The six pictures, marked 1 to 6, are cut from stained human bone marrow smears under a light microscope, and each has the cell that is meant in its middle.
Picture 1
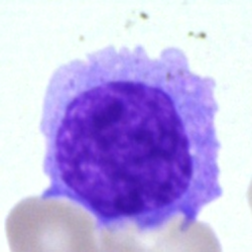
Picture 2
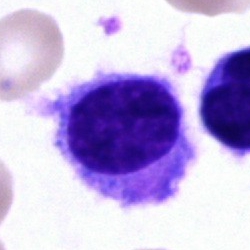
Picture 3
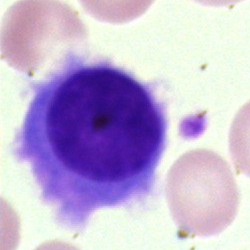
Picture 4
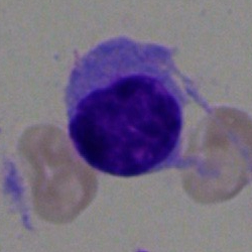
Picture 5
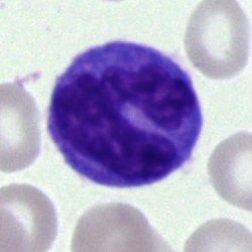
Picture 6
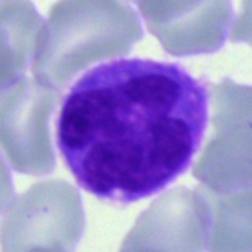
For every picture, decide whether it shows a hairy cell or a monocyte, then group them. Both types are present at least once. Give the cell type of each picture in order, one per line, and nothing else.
monocyte
hairy cell
hairy cell
hairy cell
monocyte
monocyte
